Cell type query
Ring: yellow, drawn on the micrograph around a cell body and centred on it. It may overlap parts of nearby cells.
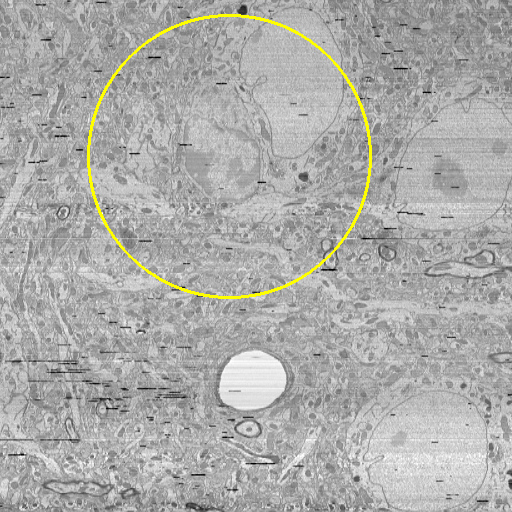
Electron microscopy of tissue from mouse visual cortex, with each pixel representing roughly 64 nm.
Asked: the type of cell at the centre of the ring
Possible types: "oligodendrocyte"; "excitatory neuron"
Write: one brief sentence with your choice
The ring marks an oligodendrocyte.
